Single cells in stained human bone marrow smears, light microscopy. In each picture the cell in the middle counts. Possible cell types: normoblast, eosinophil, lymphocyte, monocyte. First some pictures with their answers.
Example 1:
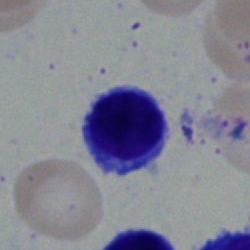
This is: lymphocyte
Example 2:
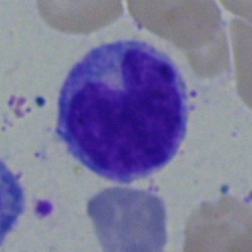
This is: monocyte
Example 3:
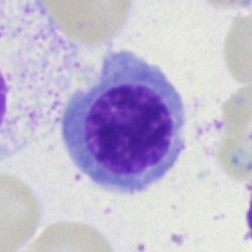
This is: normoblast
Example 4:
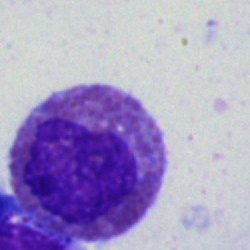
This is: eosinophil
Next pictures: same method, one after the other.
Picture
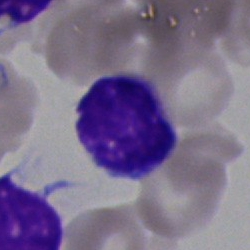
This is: lymphocyte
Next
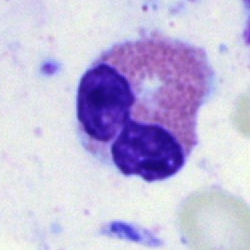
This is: eosinophil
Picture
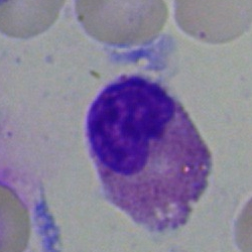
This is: eosinophil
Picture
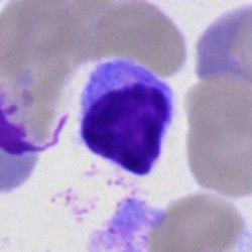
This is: lymphocyte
